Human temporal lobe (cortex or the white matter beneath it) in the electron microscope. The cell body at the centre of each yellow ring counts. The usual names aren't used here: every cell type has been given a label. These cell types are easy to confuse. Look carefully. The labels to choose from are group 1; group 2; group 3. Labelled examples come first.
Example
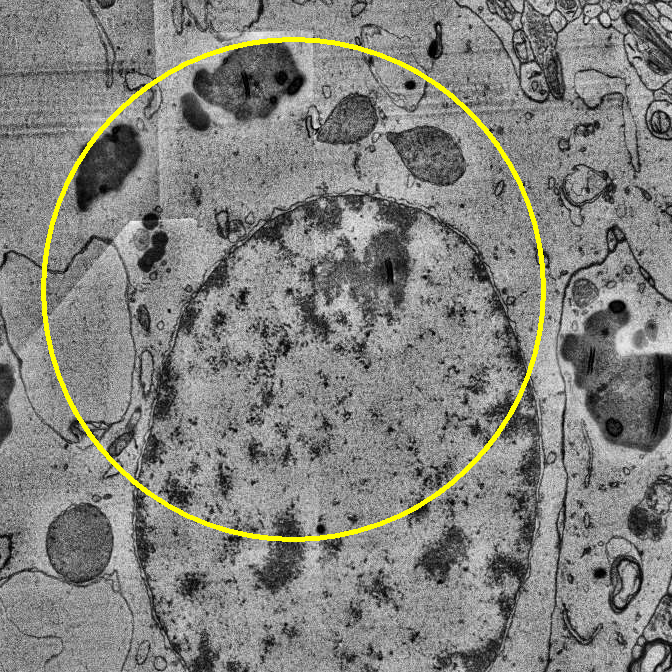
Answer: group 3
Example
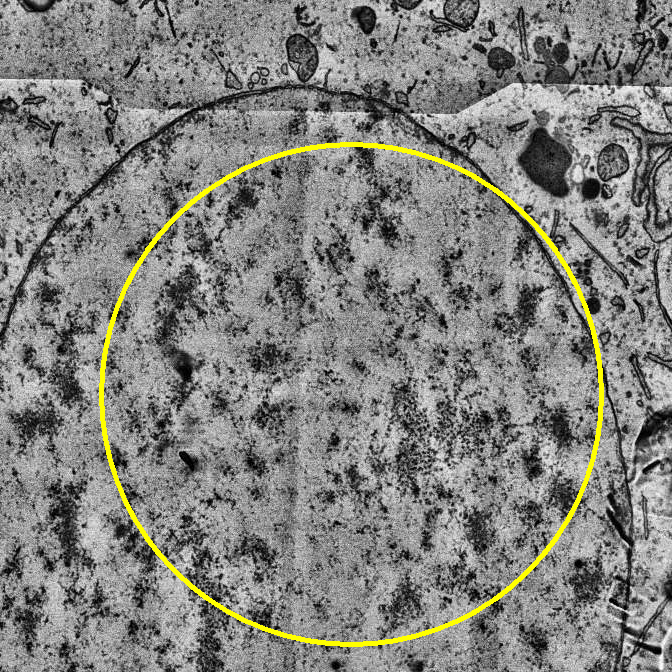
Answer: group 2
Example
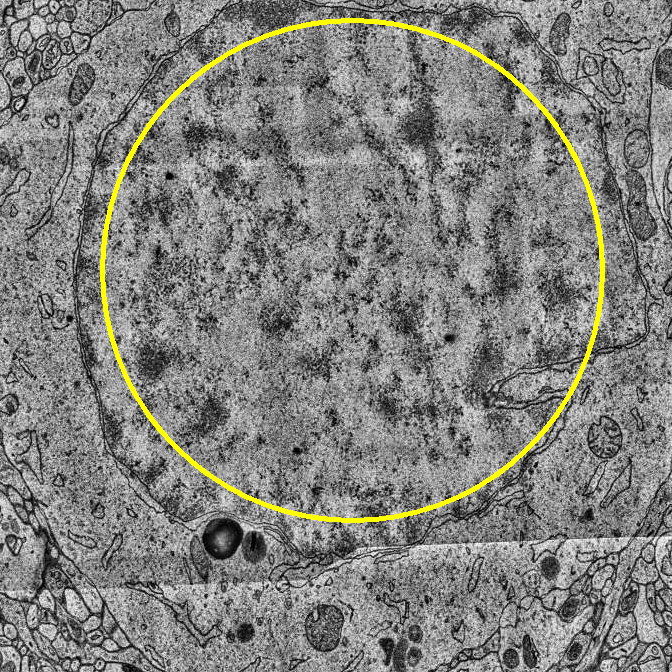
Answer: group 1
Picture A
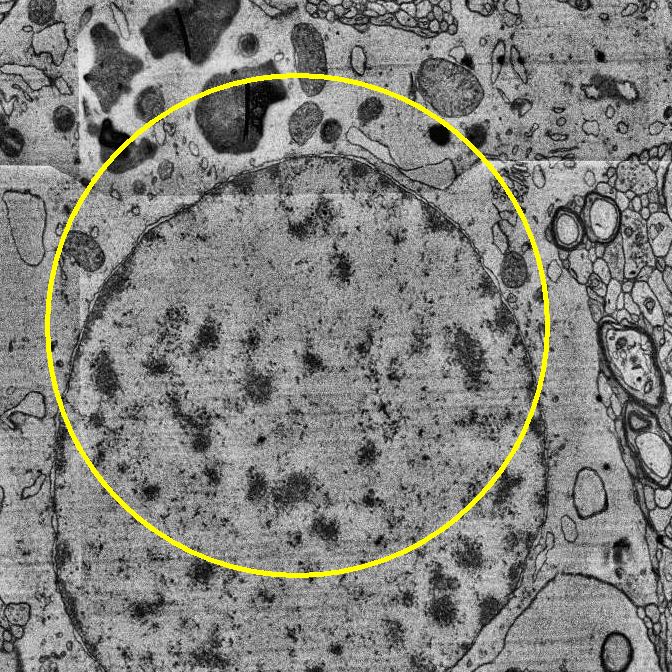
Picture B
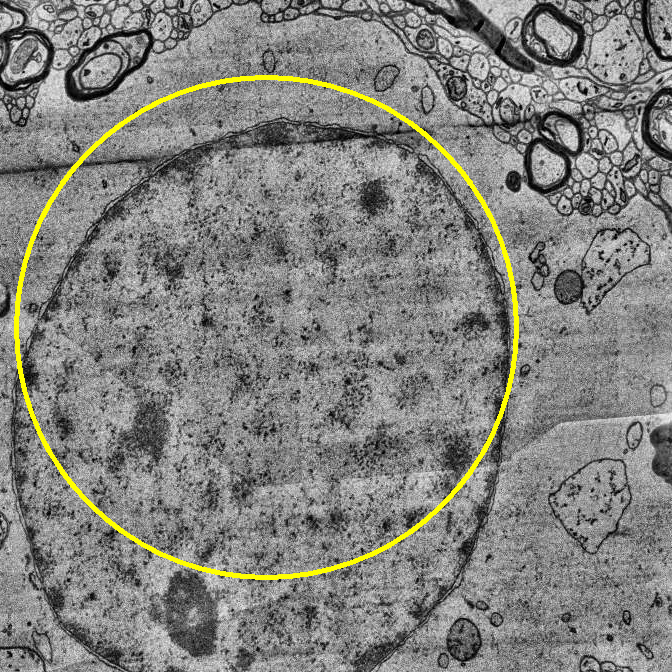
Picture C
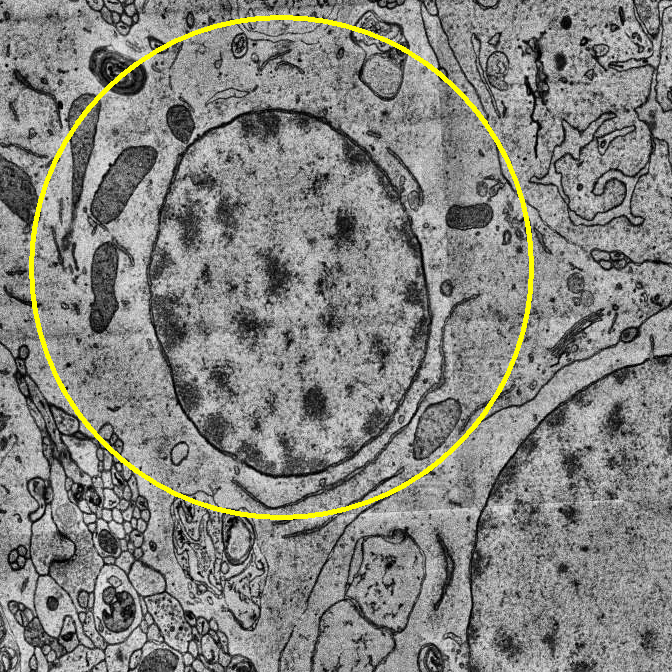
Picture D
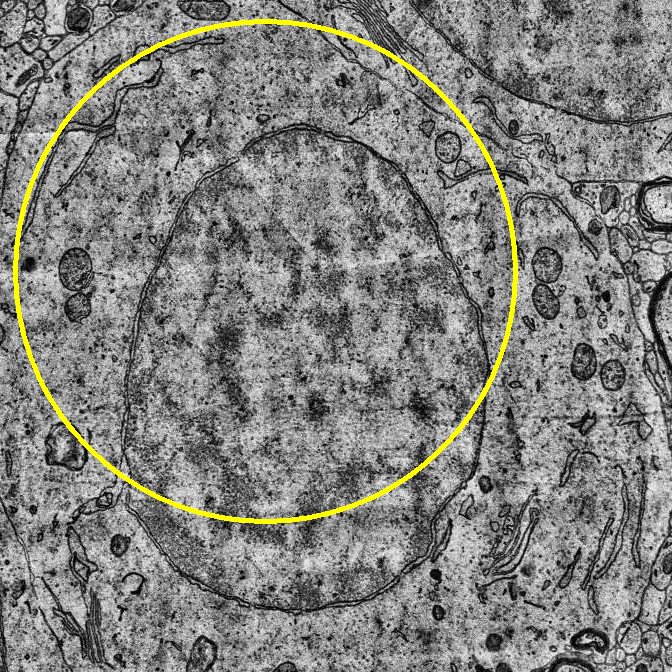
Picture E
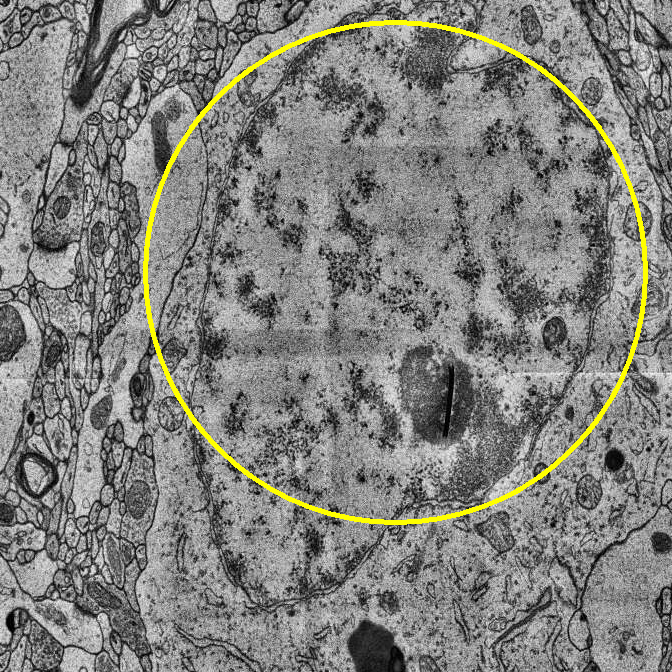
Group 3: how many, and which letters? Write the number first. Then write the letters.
3, namely A, B, C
